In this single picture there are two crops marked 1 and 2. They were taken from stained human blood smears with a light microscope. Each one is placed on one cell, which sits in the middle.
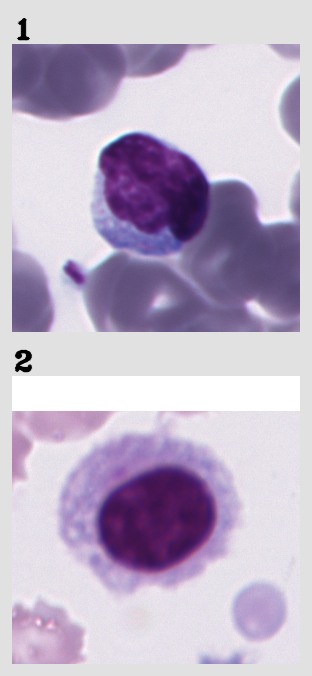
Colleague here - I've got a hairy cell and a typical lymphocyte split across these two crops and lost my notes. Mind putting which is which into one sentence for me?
What is seen in crop 1 is a typical lymphocyte; what is seen in crop 2 is a hairy cell.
